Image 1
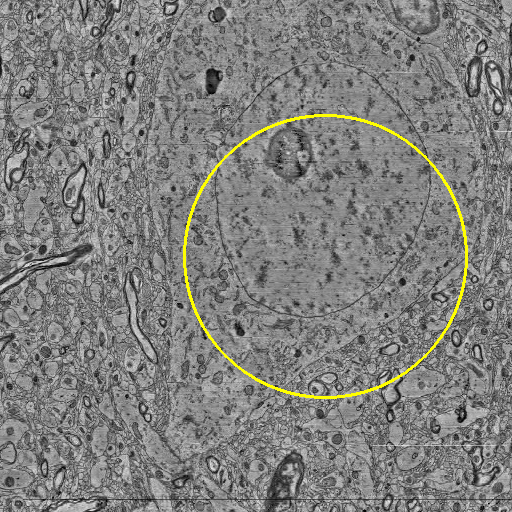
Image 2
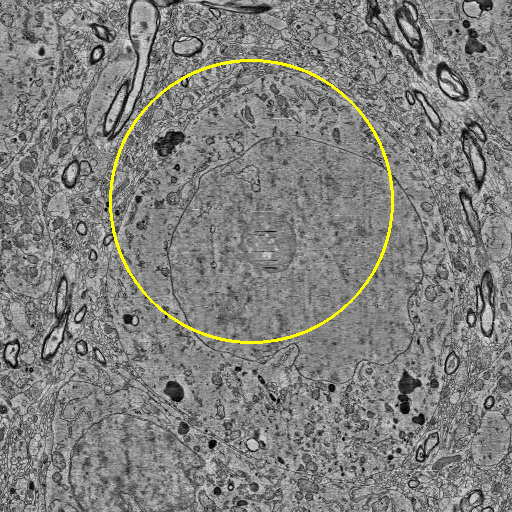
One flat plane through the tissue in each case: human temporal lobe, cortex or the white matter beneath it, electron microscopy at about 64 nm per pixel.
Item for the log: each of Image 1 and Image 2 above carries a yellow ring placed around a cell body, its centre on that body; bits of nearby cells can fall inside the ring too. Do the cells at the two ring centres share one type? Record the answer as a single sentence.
Yes, the two cells at the ring centres in Image 1 and Image 2 share one type.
